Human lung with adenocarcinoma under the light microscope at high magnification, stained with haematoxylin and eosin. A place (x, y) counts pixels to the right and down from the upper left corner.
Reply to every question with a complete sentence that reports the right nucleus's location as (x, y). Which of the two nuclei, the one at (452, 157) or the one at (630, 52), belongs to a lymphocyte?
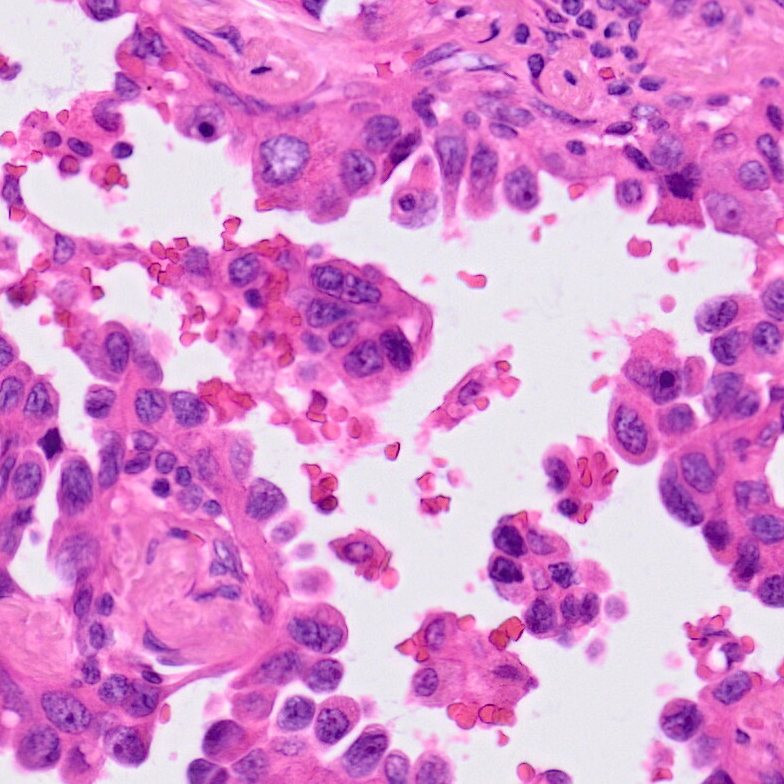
Only the nucleus at (630, 52), of the two, belongs to a lymphocyte.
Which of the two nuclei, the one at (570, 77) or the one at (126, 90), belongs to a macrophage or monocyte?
The pair contains one nucleus of a macrophage or monocyte, namely the one at (126, 90).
